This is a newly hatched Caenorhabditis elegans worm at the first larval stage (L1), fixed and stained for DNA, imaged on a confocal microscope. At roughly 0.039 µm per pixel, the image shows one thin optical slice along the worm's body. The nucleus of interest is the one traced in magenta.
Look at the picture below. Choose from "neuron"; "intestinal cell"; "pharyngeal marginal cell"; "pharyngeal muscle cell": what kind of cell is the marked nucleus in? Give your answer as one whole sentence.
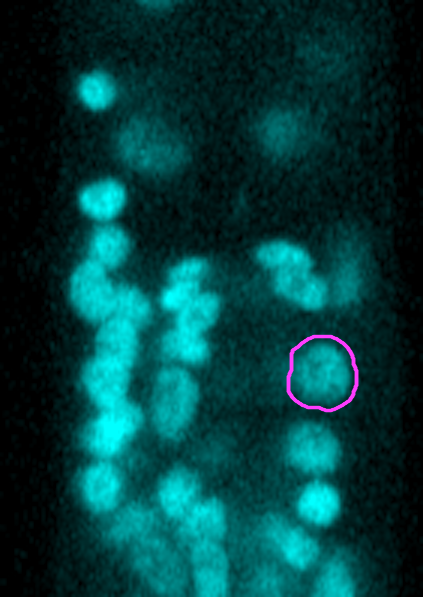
The marked cell is a pharyngeal muscle cell.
